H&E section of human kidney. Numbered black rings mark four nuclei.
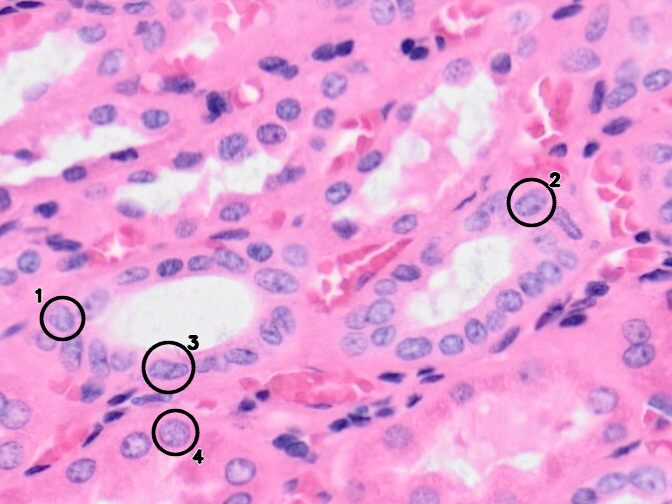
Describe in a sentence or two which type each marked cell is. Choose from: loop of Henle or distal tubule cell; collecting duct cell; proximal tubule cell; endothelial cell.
Cell 1 is a collecting duct cell, cell 2 is a collecting duct cell, cell 3 is a collecting duct cell and cell 4 is a proximal tubule cell.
